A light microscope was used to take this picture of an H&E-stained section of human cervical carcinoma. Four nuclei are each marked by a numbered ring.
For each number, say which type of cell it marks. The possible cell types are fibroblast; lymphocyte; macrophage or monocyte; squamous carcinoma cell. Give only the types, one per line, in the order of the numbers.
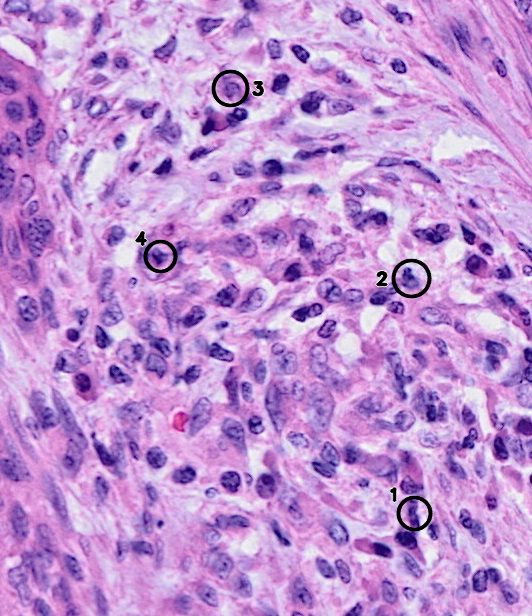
lymphocyte
lymphocyte
macrophage or monocyte
lymphocyte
